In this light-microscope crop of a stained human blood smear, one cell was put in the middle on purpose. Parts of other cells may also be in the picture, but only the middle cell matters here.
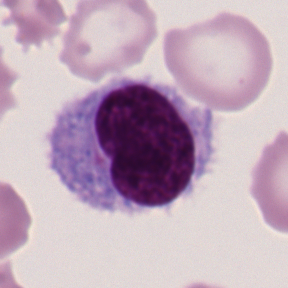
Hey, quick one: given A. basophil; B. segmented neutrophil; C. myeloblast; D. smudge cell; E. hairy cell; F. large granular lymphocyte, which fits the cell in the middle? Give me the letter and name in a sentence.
The cell in the centre of the crop is a hairy cell, so option E is the correct one.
